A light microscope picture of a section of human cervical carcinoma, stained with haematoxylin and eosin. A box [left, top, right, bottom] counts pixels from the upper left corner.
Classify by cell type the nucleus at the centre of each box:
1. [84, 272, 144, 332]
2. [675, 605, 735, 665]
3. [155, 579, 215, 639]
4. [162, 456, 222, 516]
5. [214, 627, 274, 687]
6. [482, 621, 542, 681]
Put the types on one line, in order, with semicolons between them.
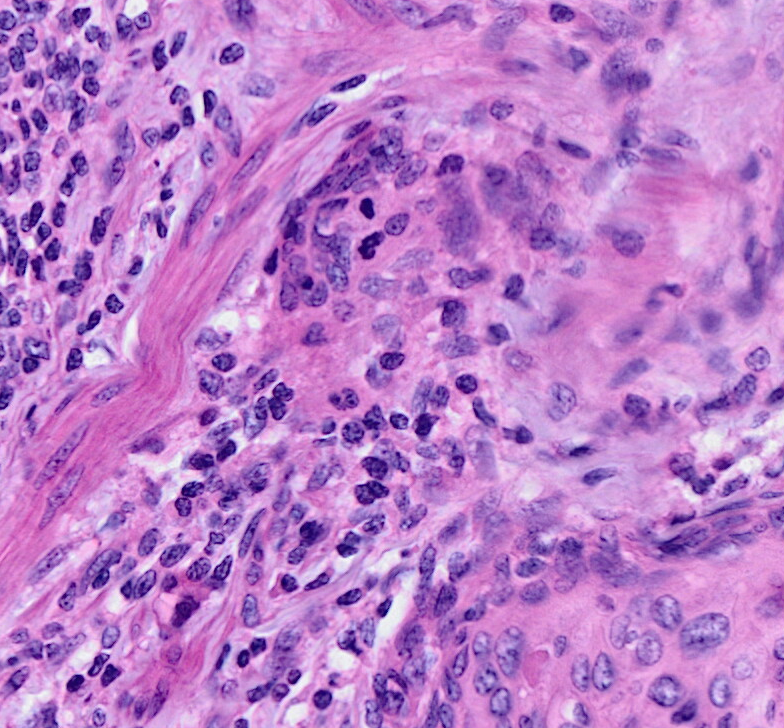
lymphocyte; squamous carcinoma cell; lymphocyte; lymphocyte; lymphocyte; squamous carcinoma cell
